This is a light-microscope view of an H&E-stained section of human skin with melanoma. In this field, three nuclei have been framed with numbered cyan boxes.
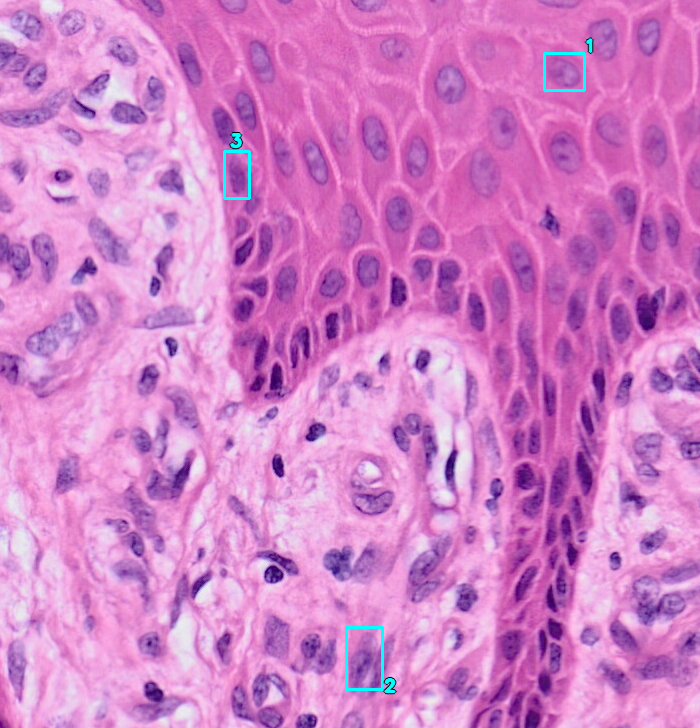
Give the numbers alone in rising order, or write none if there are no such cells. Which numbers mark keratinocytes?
1, 3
